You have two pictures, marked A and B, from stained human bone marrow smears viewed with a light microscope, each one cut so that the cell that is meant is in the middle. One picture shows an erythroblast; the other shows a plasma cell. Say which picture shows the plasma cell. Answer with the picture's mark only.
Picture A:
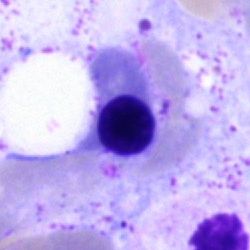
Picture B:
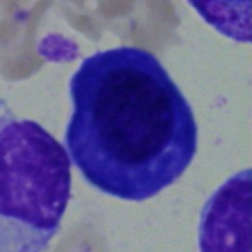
B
